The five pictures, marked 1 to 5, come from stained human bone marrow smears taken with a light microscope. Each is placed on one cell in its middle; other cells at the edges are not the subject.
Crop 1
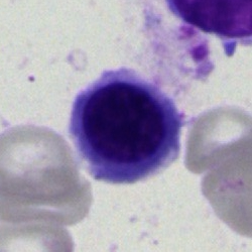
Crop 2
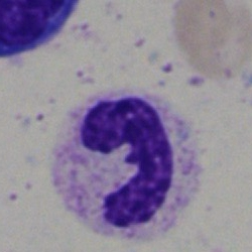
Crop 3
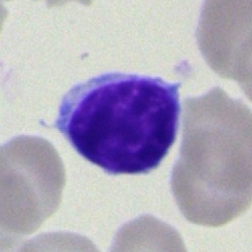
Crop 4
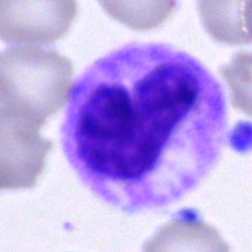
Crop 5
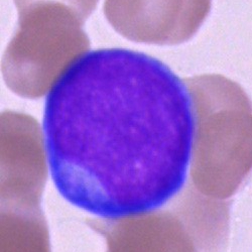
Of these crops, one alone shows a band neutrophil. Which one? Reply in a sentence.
Among the crops provided, a band neutrophil occupies the center of crop 4.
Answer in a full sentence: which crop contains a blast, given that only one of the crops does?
Crop 5 is where a blast is to be found.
